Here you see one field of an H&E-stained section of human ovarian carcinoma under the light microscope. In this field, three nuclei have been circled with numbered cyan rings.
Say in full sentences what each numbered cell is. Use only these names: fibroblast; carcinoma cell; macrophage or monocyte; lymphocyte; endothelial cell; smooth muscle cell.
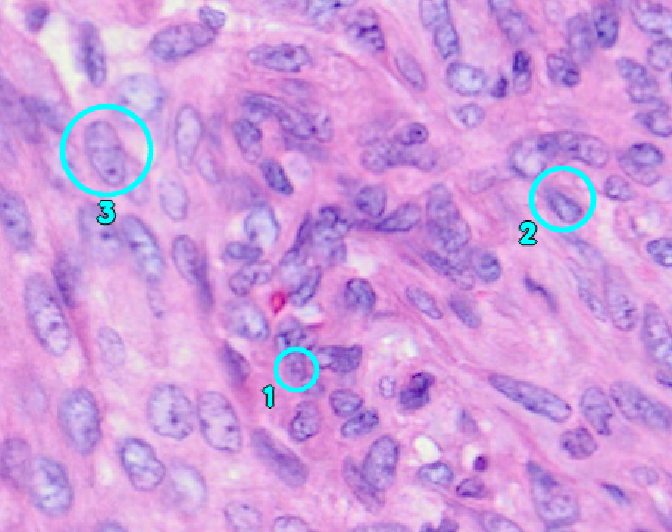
Cell 1 is an endothelial cell, cell 2 is a fibroblast and cell 3 is a fibroblast.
